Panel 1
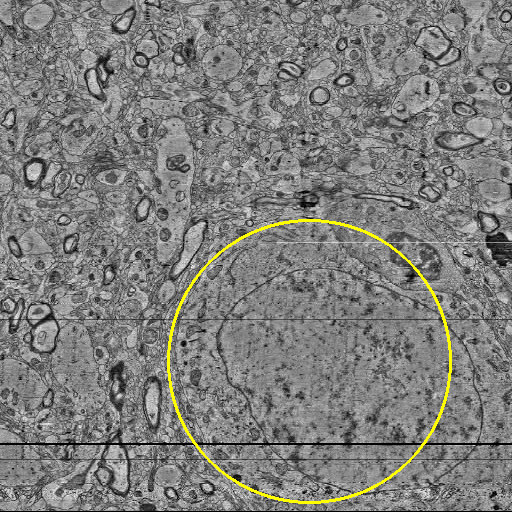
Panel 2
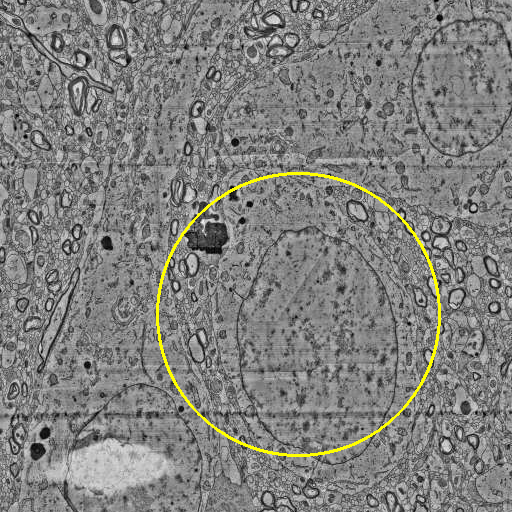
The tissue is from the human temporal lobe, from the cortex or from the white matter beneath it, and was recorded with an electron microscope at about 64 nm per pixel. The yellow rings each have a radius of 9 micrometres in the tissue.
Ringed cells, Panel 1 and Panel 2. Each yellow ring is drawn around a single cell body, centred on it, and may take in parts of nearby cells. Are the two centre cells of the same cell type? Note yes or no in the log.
yes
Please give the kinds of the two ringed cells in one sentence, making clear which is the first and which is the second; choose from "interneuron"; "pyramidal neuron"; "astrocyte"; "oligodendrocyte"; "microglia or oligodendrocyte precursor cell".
Both the first and the second picture show a pyramidal neuron in the ring.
